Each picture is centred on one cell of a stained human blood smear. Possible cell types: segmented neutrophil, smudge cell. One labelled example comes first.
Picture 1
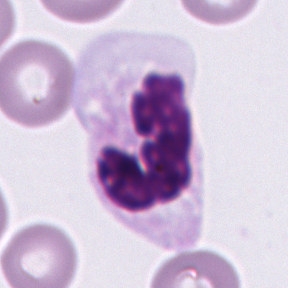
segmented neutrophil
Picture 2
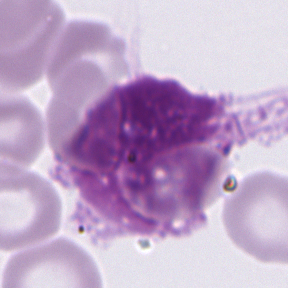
smudge cell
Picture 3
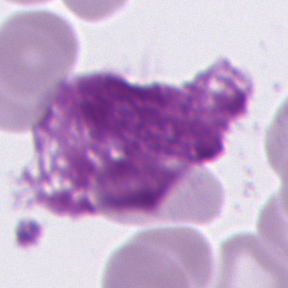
smudge cell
